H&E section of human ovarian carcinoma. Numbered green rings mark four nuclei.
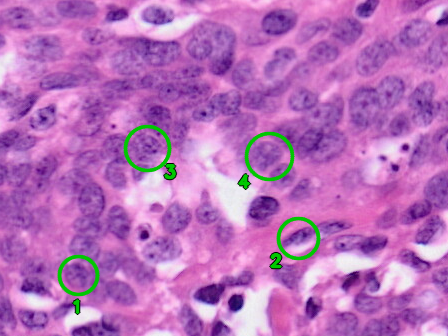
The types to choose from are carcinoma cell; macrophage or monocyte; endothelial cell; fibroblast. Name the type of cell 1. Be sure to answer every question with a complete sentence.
The cell carrying label 1 is identified as a carcinoma cell.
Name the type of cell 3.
Cell 3 of the marked set is a carcinoma cell.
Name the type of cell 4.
Identified by the number 4, the cell is a carcinoma cell.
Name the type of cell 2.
At number 2, the marked cell is an endothelial cell.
